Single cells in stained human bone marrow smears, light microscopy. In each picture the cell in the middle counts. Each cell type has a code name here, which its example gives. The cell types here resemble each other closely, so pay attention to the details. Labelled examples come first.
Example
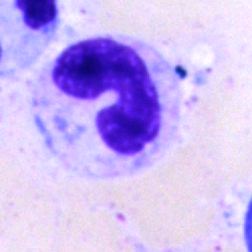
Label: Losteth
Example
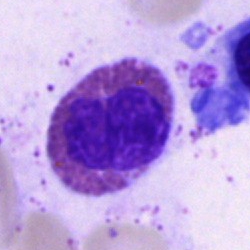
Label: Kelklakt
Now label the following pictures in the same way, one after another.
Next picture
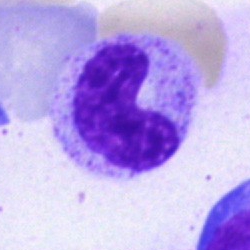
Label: Losteth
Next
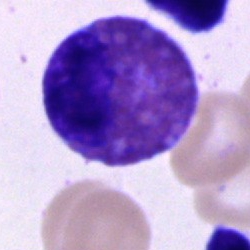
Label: Kelklakt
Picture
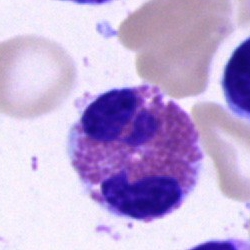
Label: Kelklakt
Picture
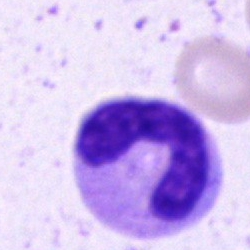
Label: Losteth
